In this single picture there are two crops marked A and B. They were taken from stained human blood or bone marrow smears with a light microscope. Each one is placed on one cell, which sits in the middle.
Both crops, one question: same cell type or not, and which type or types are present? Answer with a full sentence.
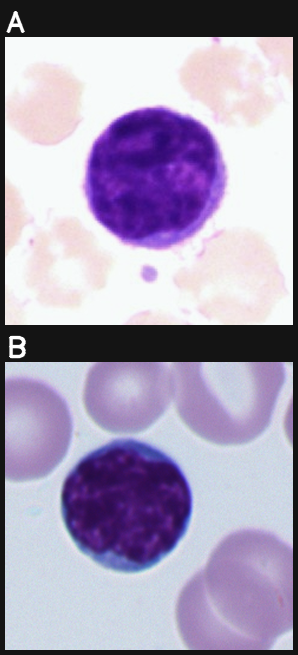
Yes, they do, both crops show lymphocytes.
